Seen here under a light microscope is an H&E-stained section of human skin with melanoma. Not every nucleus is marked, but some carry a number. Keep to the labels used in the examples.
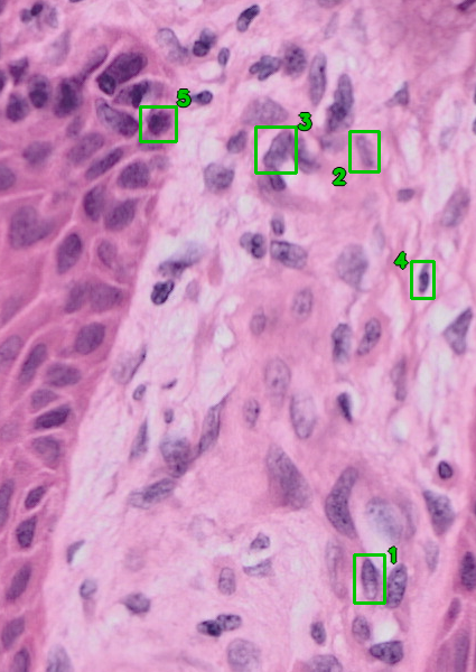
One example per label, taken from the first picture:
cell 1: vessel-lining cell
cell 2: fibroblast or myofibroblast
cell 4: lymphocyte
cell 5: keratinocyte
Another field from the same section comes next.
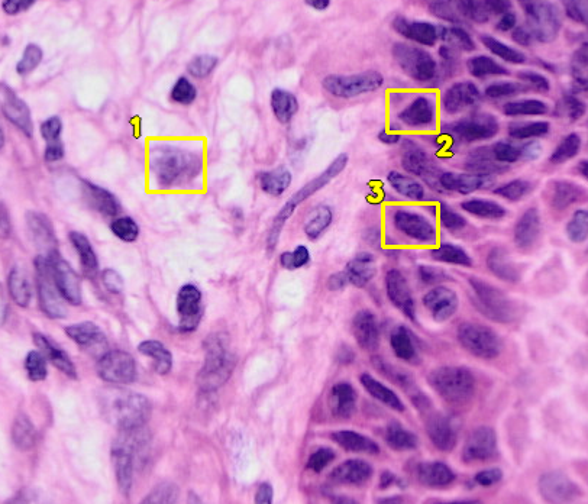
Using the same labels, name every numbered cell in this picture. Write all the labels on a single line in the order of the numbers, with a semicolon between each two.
fibroblast or myofibroblast; keratinocyte; keratinocyte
